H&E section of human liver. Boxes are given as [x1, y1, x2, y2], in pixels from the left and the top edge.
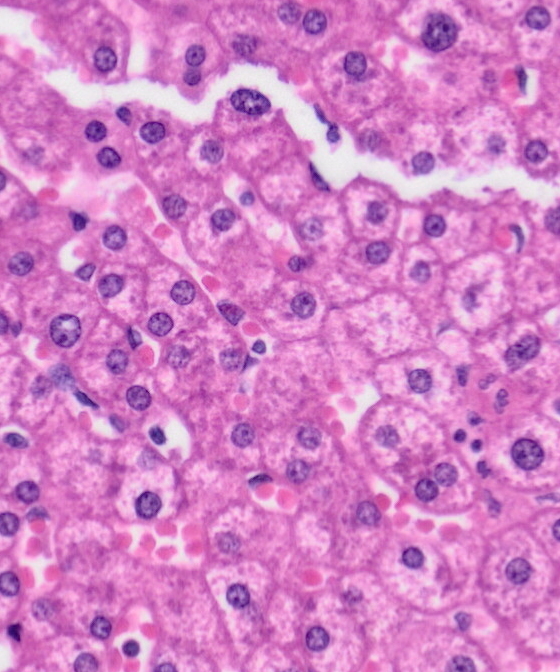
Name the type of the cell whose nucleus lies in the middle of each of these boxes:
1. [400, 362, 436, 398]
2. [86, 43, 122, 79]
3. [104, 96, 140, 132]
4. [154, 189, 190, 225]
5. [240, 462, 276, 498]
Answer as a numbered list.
1. hepatocyte
2. hepatocyte
3. fibroblast or stellate cell
4. hepatocyte
5. endothelial cell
